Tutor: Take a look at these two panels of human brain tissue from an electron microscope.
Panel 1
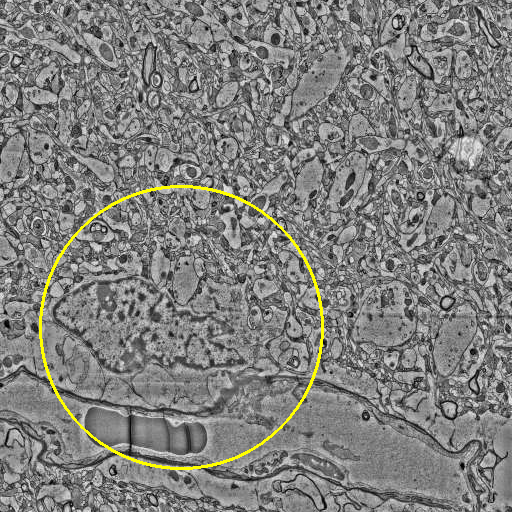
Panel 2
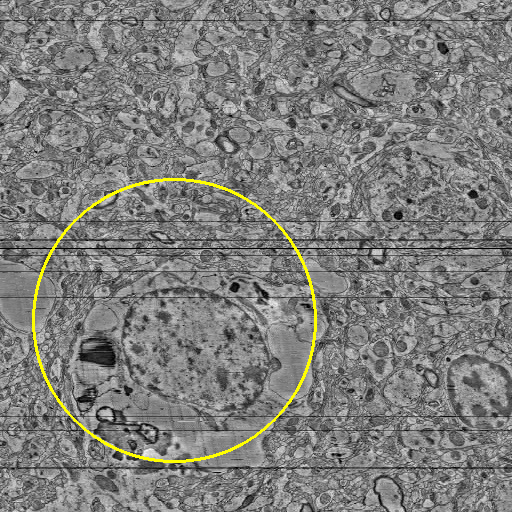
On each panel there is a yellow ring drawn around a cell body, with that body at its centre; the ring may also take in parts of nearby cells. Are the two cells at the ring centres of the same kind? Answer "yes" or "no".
no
